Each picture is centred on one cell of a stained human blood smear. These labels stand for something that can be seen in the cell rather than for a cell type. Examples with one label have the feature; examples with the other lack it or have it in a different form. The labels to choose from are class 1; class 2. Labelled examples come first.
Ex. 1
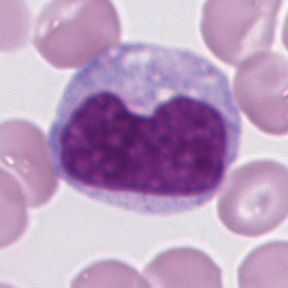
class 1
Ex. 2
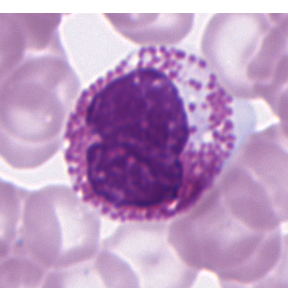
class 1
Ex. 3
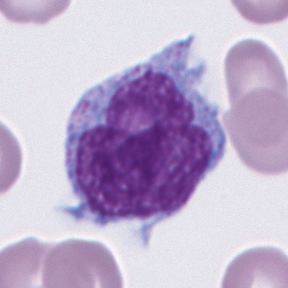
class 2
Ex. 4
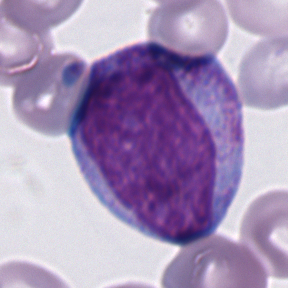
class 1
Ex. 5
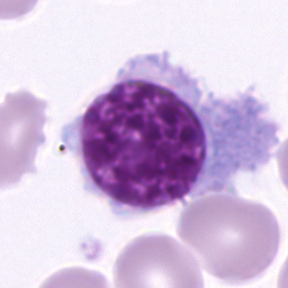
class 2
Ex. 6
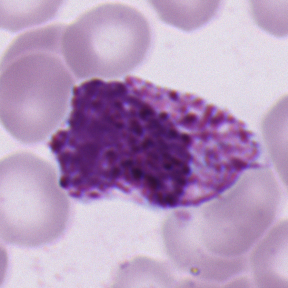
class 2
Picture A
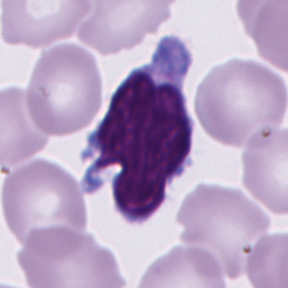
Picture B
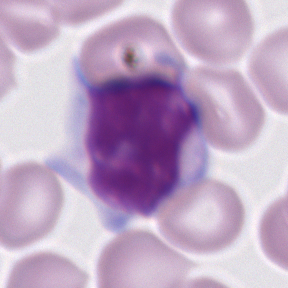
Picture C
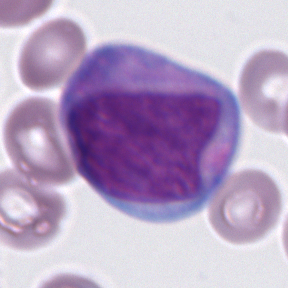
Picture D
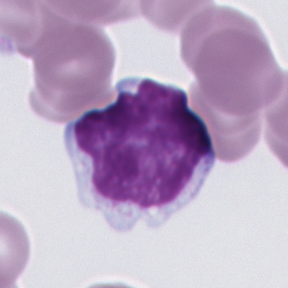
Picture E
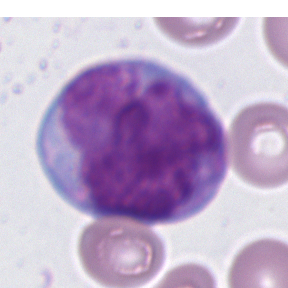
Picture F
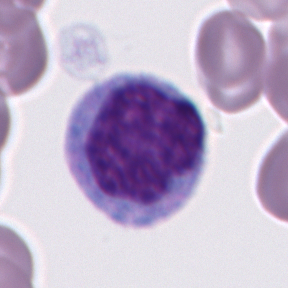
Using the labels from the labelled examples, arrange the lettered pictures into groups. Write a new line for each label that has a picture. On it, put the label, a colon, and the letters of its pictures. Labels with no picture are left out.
class 1: C, E, F
class 2: A, B, D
